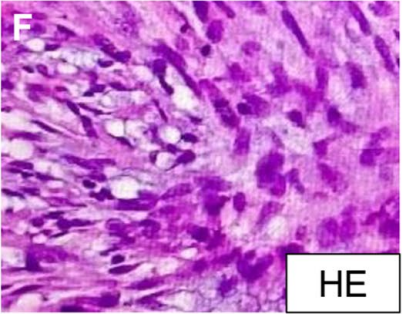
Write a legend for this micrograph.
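Densely cellular tumor tissue of spindle-shaped and oval cells with deep purple, elongated nuclei arranged in streaming fascicles. Small clear vacuoles are scattered among the cells, especially toward the left. Nuclei are crowded and vary in size and shape, with little intervening stroma.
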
